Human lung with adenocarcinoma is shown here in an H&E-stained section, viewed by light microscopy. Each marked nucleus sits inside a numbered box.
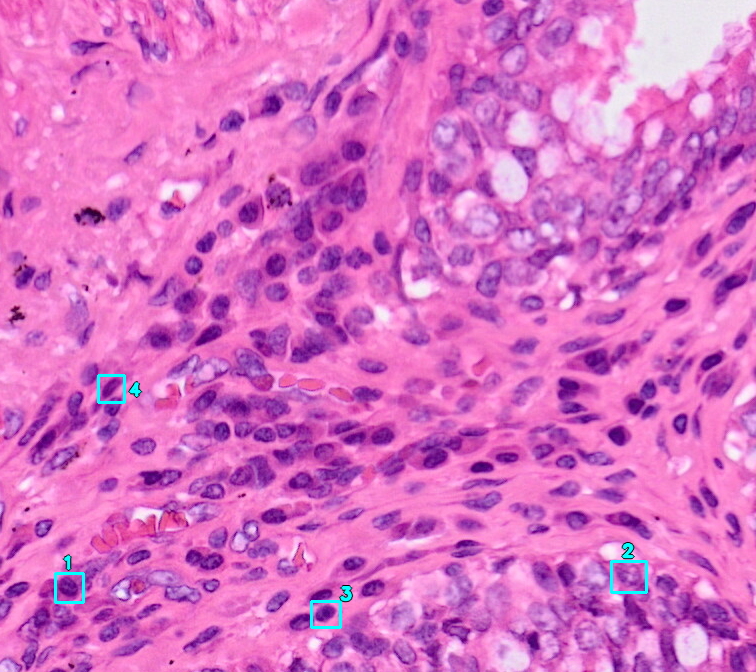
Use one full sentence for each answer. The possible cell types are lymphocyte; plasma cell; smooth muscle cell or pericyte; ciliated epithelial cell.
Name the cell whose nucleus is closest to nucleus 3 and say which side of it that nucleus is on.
Just above nucleus 3 lies the nearest nucleus, which belongs to a plasma cell.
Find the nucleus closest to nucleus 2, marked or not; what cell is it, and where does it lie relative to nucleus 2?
It is a ciliated epithelial cell, whose nucleus lies below and to the right of nucleus 2.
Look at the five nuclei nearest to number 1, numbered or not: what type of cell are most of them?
Plasma cells make up most of the five nuclei closest to number 1.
